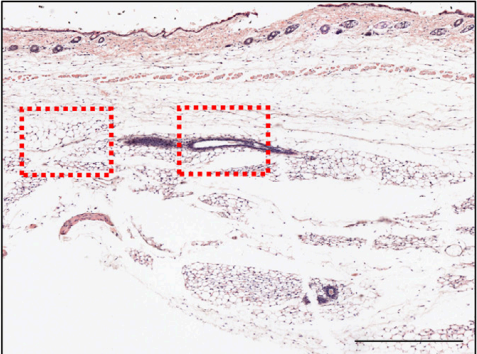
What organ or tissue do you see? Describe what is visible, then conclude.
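Skin. A thin dark surface layer runs along the top edge. Small round hair follicle profiles sit just beneath the surface layer.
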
